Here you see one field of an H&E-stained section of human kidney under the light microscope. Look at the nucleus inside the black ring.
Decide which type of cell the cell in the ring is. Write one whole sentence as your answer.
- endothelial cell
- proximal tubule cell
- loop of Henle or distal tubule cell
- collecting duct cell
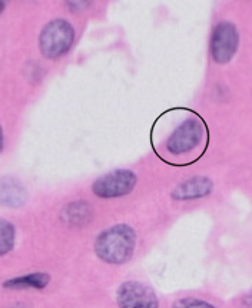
Recorded by type, the cell in the ring is a loop of Henle or distal tubule cell.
